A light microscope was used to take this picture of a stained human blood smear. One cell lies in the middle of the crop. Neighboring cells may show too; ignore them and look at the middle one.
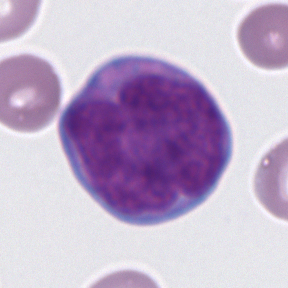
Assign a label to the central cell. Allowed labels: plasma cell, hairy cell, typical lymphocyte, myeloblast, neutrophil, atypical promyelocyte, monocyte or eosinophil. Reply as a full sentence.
Occupying the centre of the crop is an atypical promyelocyte.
